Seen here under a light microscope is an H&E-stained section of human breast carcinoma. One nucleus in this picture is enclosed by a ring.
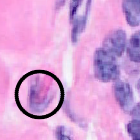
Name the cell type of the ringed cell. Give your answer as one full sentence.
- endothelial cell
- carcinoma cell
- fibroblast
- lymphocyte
The cell meant here is an endothelial cell.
